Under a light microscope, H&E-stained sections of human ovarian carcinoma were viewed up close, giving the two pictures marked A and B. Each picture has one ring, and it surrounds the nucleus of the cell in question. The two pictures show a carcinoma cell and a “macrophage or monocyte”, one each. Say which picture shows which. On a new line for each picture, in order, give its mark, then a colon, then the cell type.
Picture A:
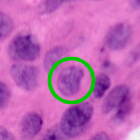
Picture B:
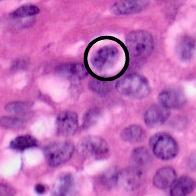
A: carcinoma cell
B: macrophage or monocyte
